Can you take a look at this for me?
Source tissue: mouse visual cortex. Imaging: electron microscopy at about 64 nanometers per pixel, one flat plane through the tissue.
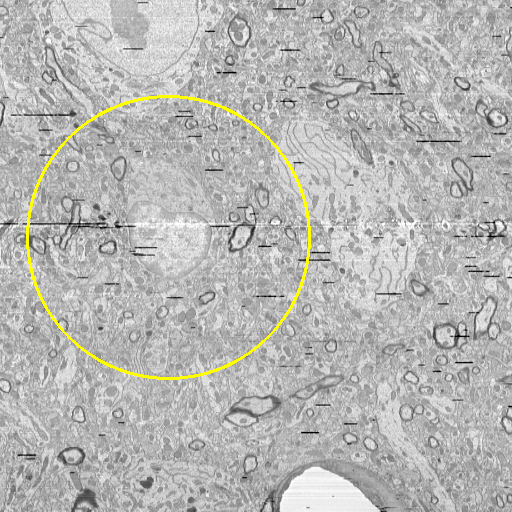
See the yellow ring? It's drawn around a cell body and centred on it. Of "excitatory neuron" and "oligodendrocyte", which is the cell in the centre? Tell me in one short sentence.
The one in the centre is an oligodendrocyte.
